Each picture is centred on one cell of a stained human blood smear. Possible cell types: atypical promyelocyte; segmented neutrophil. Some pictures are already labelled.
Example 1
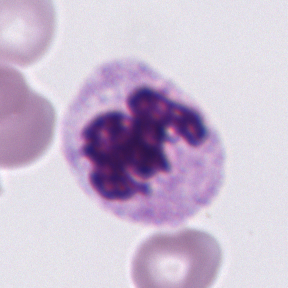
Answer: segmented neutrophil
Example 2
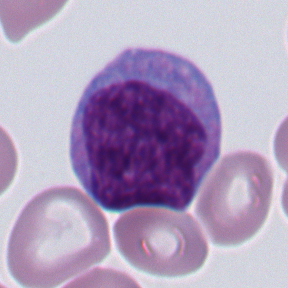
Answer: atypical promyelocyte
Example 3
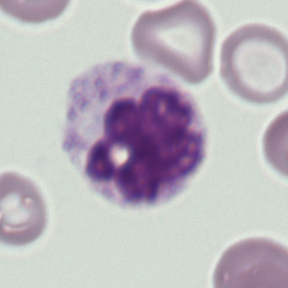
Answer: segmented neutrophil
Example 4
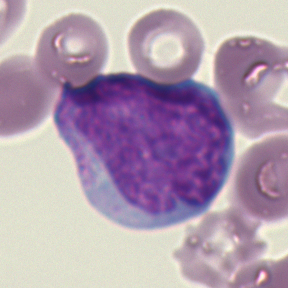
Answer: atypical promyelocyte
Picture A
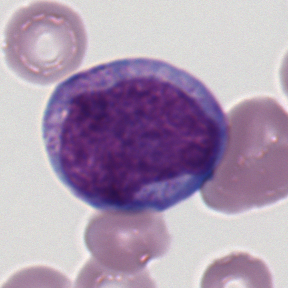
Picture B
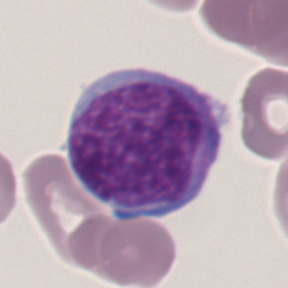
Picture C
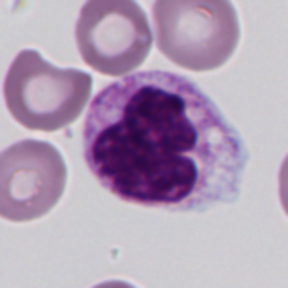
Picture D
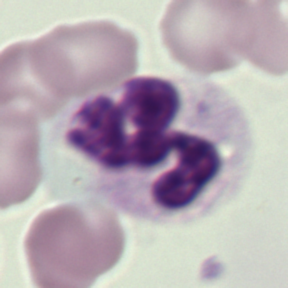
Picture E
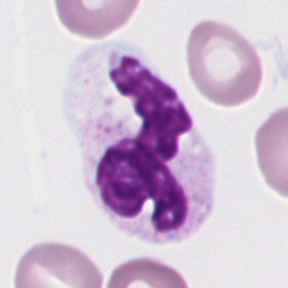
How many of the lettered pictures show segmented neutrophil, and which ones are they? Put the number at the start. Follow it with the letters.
3, namely C, D, E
